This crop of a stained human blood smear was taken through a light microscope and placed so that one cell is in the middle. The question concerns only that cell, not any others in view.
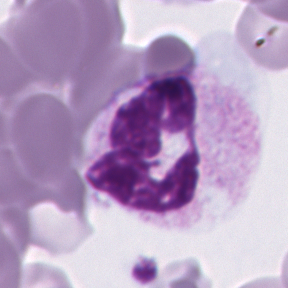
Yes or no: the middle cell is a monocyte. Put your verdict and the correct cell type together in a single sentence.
No, this cell in the middle is a segmented neutrophil, so it is not a monocyte.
